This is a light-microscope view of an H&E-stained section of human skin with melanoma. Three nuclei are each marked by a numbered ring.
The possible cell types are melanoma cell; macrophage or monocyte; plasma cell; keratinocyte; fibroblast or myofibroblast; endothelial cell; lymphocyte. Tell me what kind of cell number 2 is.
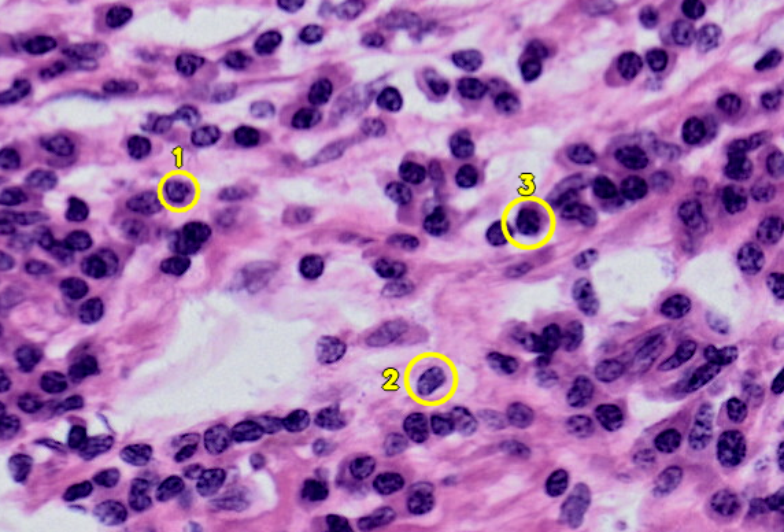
lymphocyte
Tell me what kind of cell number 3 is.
plasma cell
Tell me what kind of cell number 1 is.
plasma cell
